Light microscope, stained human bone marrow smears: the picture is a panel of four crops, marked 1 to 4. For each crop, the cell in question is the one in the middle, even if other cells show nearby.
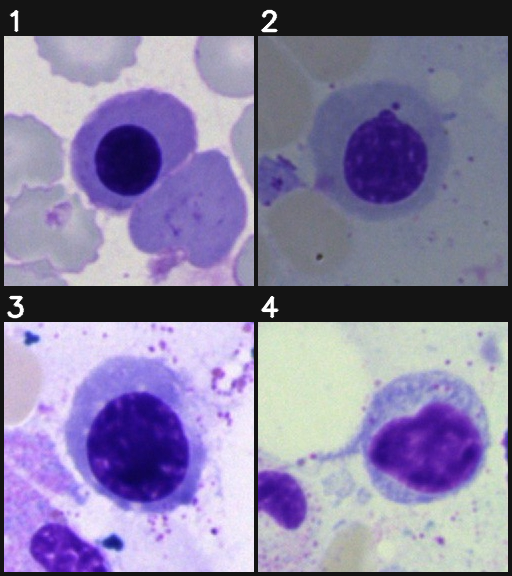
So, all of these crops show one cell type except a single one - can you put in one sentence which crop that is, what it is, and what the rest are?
The remaining crops are all erythroblasts, so crop 4, being a lymphocyte, is the exception.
